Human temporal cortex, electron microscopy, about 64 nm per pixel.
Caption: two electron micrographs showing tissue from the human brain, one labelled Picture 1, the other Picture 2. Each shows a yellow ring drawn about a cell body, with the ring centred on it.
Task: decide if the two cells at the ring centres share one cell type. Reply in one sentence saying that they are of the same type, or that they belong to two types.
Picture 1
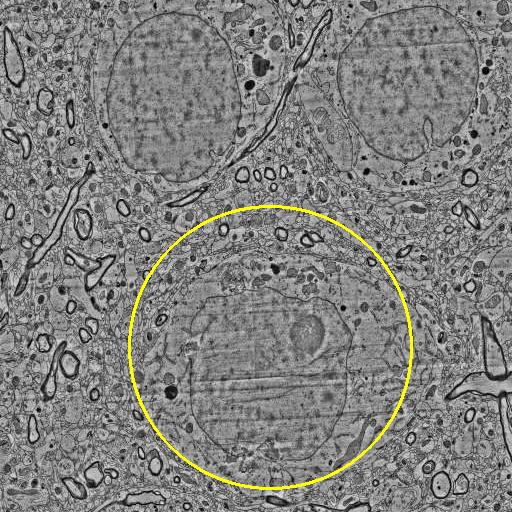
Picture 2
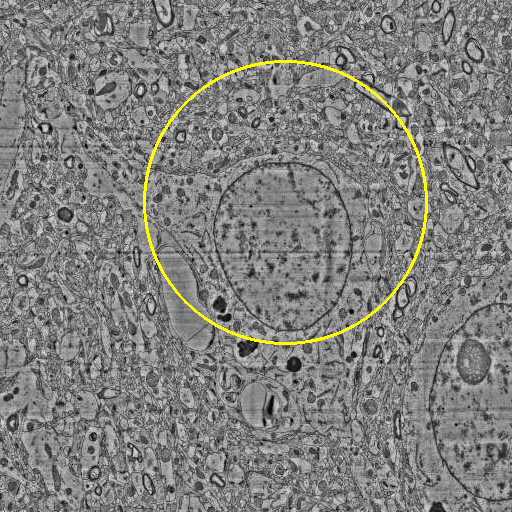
The cells at the ring centres in Picture 1 and Picture 2 are of the same type.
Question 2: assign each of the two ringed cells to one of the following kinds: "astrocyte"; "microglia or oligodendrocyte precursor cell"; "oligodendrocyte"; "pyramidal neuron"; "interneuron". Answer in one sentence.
The second cell is a pyramidal neuron, just as the first is.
